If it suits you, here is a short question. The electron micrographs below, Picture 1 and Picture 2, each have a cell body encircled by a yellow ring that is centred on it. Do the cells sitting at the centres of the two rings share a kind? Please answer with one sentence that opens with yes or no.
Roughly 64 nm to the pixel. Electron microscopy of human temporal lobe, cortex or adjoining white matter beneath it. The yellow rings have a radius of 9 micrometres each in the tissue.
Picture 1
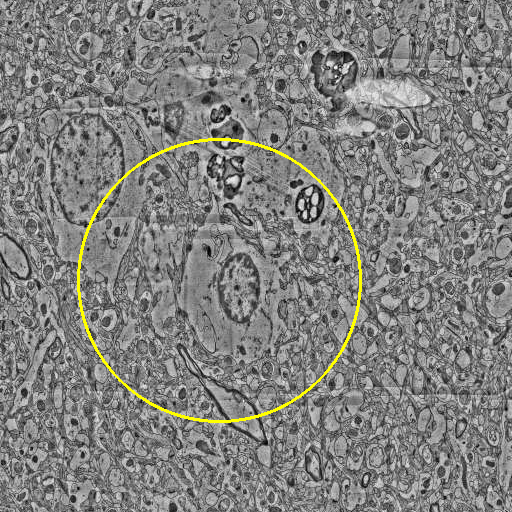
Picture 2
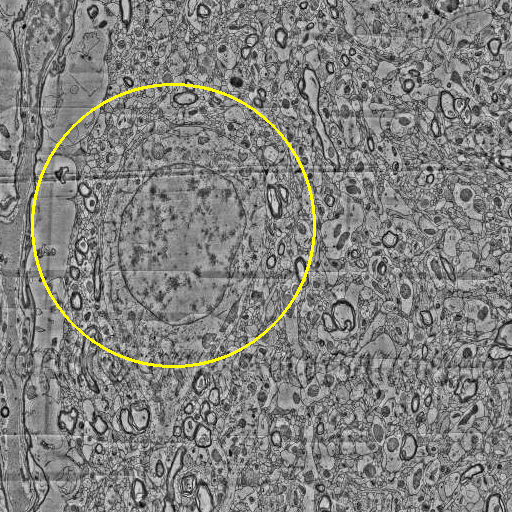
No, the two cells sitting at the ring centres fall into two kinds.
